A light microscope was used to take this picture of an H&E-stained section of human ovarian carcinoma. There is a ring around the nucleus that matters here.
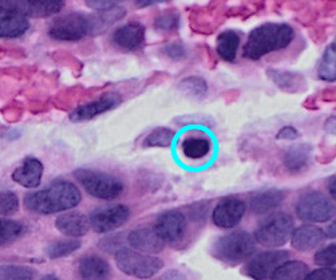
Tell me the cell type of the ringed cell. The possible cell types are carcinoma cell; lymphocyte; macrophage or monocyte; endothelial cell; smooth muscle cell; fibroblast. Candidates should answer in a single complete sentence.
With respect to cell type, the ringed cell is a lymphocyte.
